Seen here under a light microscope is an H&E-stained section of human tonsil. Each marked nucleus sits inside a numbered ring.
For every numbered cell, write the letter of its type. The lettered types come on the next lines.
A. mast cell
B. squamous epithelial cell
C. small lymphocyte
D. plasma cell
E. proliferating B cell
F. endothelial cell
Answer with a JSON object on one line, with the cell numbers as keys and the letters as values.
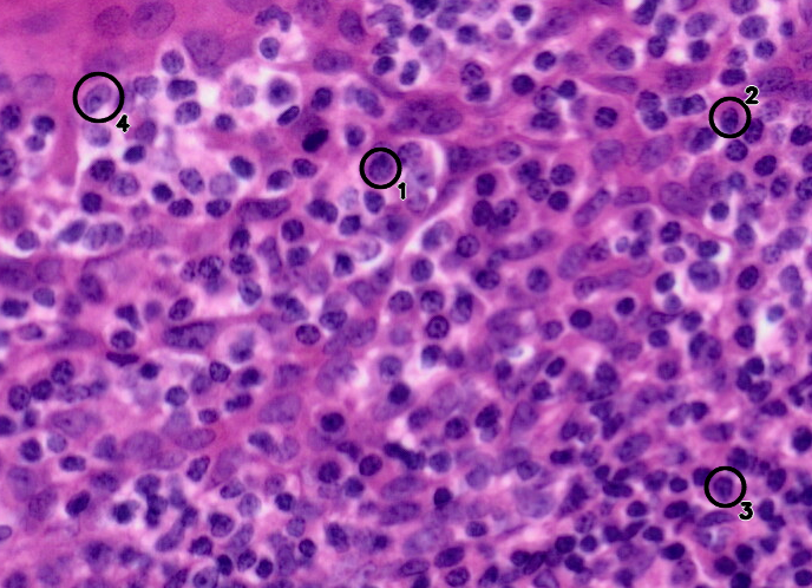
{"1": "D", "2": "D", "3": "D", "4": "B"}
